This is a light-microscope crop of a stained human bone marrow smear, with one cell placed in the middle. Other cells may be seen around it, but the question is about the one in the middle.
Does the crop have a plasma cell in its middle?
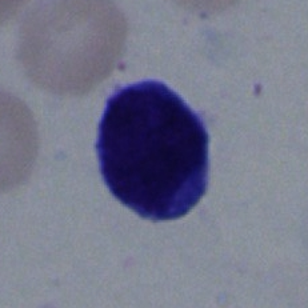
no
